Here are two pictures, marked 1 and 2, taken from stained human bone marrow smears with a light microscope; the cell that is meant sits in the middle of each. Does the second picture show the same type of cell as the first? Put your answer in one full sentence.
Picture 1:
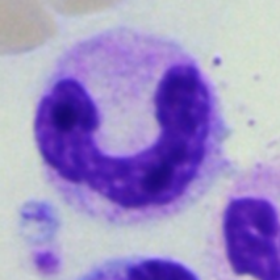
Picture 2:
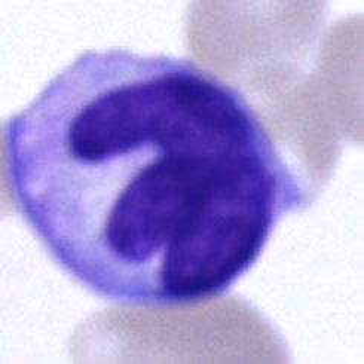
No, they differ: the cell is a band neutrophil in picture 1 and a monocyte in picture 2.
